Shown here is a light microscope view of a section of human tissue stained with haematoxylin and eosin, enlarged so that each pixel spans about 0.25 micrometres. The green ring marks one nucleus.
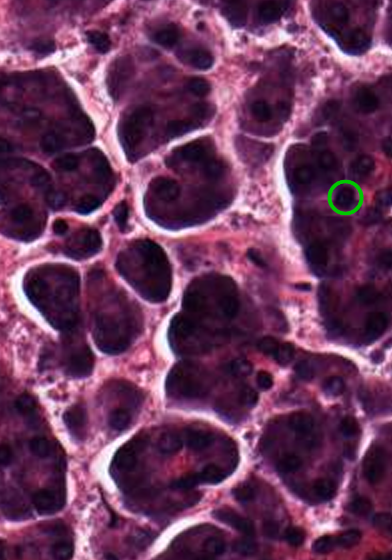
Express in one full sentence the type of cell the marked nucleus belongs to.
Here it is a pancreatic acinar cell that the marked nucleus belongs to.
